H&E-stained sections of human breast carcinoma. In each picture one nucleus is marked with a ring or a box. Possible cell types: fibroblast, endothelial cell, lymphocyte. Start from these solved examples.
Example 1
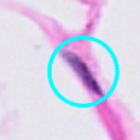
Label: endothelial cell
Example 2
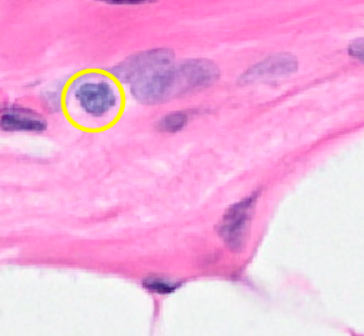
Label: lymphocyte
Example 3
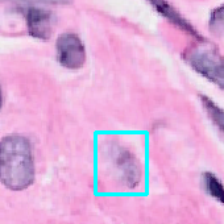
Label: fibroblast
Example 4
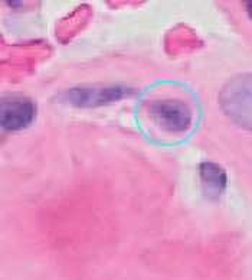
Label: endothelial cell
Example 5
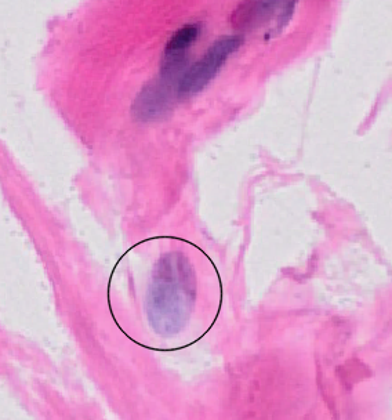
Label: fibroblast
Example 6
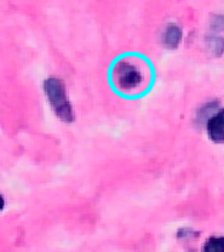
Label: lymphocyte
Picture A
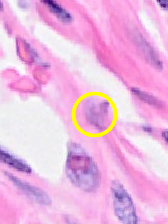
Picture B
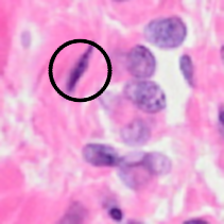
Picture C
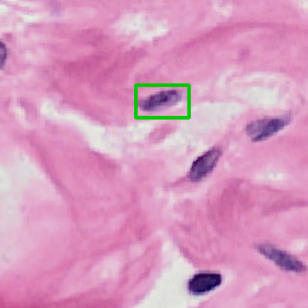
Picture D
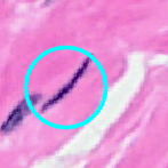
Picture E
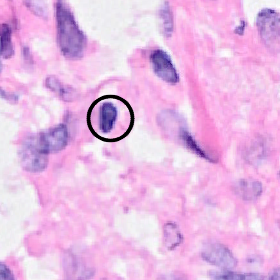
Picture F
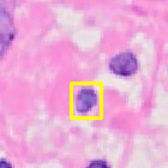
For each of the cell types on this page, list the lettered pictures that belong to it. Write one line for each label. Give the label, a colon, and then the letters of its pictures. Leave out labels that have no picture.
fibroblast: B, C, D
endothelial cell: A
lymphocyte: E, F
